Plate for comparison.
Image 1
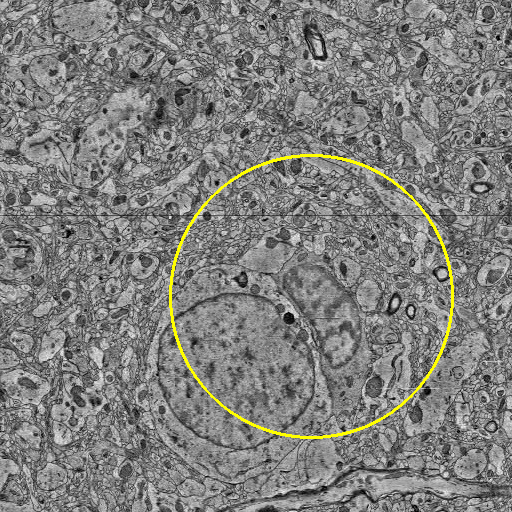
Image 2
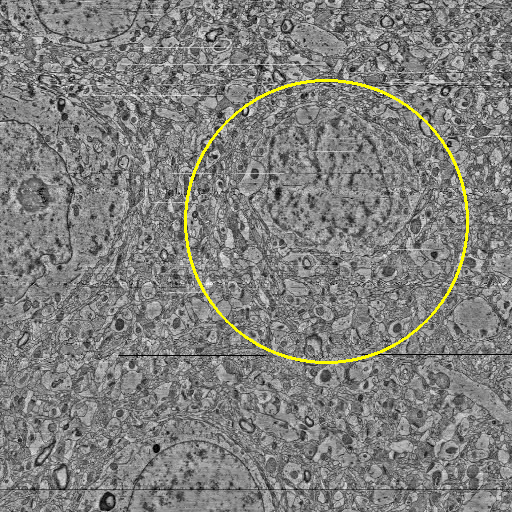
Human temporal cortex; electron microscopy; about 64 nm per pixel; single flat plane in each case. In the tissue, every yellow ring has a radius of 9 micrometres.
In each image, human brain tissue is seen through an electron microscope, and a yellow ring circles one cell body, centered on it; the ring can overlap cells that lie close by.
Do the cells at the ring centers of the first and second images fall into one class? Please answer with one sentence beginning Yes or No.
No, the first and second images show two classes of cell at the ring centers.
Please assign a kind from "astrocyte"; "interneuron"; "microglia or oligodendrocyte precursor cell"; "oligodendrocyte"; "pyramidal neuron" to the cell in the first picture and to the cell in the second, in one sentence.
In the first picture we have an oligodendrocyte, and in the second, an interneuron.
